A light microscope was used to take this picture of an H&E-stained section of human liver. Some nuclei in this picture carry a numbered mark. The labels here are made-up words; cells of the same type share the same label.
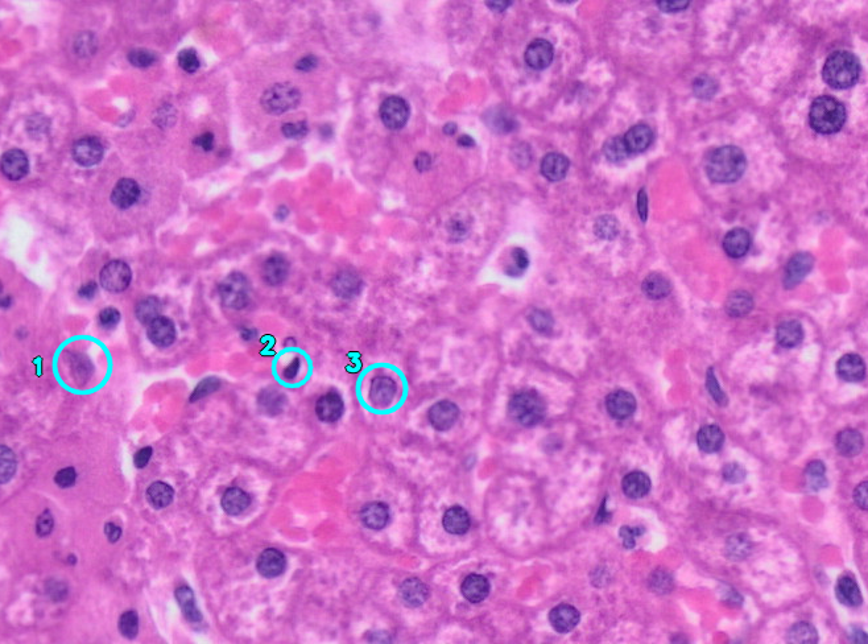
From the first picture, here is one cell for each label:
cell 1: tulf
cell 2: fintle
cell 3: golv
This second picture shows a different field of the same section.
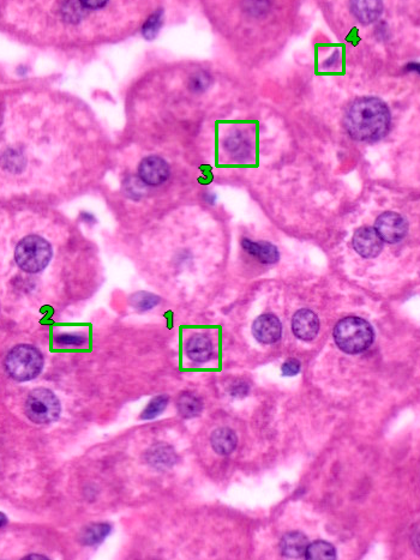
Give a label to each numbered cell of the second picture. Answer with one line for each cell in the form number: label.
1: golv
2: fintle
3: golv
4: tulf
